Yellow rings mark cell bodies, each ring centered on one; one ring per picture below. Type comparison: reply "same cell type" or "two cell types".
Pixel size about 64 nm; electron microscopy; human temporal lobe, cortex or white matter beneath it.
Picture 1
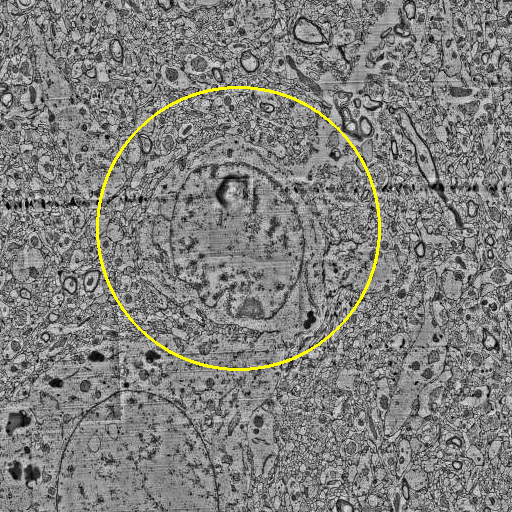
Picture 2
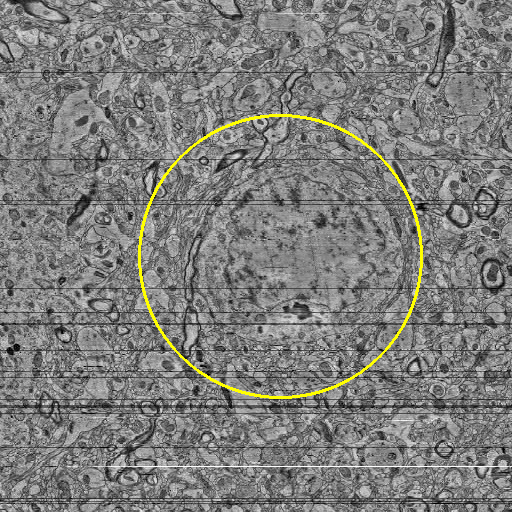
same cell type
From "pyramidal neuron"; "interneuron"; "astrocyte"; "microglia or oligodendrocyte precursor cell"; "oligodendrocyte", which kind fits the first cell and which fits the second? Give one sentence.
Each cell at the centre of a ring is an interneuron.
